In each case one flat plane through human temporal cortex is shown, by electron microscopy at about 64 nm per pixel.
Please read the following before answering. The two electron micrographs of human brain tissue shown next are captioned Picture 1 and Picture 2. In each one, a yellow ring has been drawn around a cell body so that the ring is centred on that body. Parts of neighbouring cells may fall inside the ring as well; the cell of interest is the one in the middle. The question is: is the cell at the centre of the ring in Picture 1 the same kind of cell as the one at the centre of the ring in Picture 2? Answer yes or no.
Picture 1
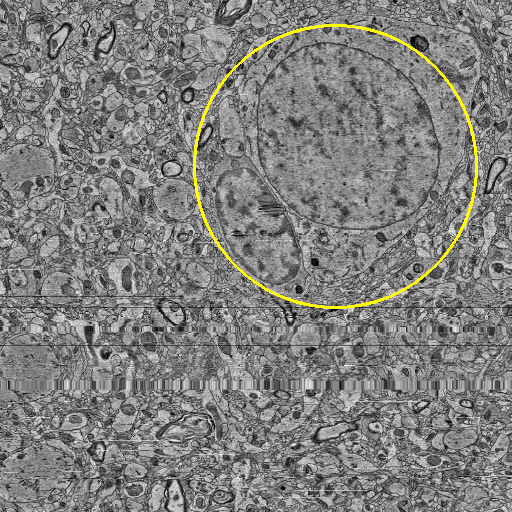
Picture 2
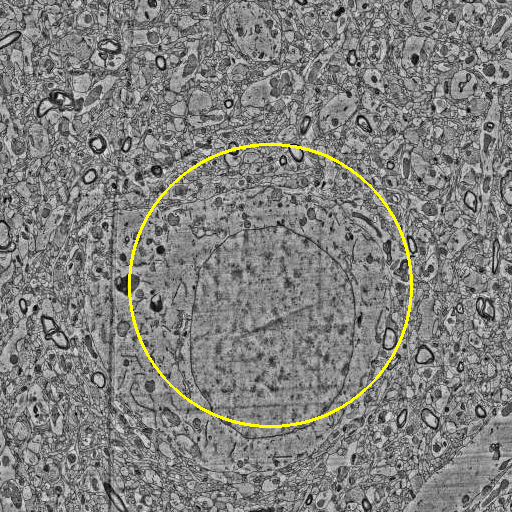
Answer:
yes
